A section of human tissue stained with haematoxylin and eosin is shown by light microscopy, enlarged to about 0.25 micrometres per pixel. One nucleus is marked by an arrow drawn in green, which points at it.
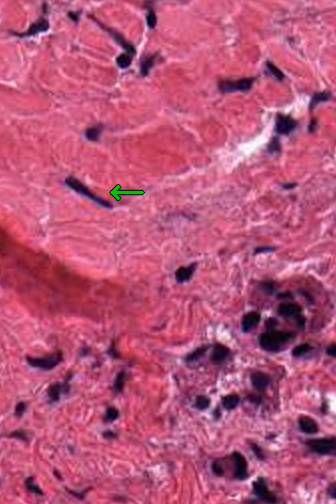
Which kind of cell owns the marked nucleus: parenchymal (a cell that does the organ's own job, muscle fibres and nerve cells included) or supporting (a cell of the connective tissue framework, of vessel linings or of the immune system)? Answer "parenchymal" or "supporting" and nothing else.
supporting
